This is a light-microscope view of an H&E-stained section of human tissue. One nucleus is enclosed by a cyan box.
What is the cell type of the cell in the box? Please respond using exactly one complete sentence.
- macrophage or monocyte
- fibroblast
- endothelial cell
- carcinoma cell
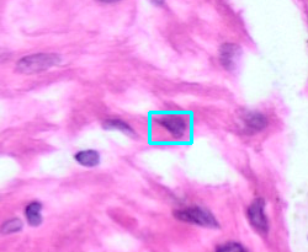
It is as a fibroblast that the cell in the box is classified.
